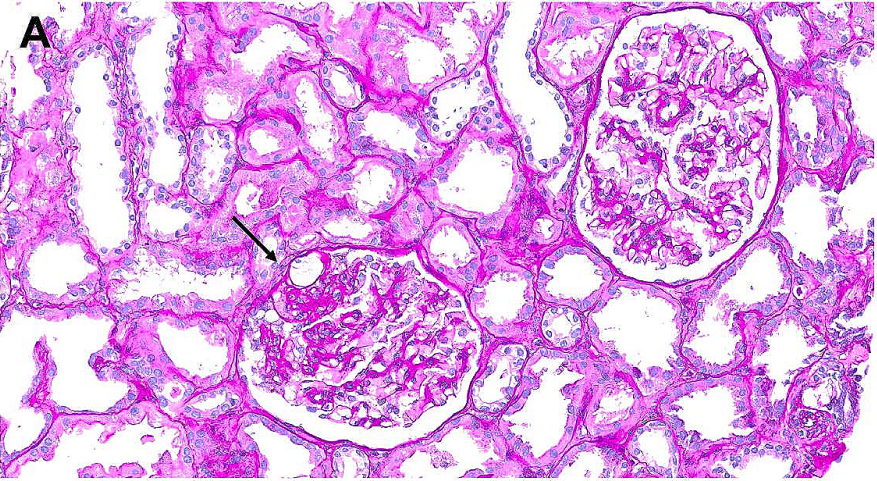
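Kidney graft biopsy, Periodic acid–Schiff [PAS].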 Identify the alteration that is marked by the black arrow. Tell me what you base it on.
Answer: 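Segmental sclerosis. The arrow points at a glomerulus in the lower left. Part of this glomerular tuft is consolidated with dense magenta-stained matrix while other loops remain. The other glomerulus at upper right has open capillary loops throughout.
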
